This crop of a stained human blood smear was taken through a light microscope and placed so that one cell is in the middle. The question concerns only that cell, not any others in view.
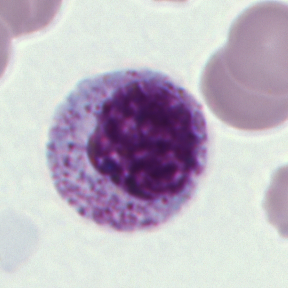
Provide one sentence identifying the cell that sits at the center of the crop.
This crop has a myelocyte at its centre.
